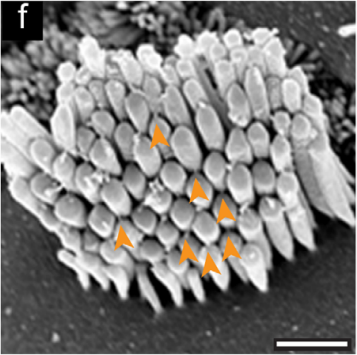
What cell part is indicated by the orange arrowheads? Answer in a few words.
Tip links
